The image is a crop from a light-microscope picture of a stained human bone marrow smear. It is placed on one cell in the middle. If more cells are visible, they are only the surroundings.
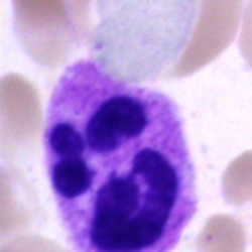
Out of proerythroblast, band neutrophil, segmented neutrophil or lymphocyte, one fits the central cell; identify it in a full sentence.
The identification for the central cell is a segmented neutrophil.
